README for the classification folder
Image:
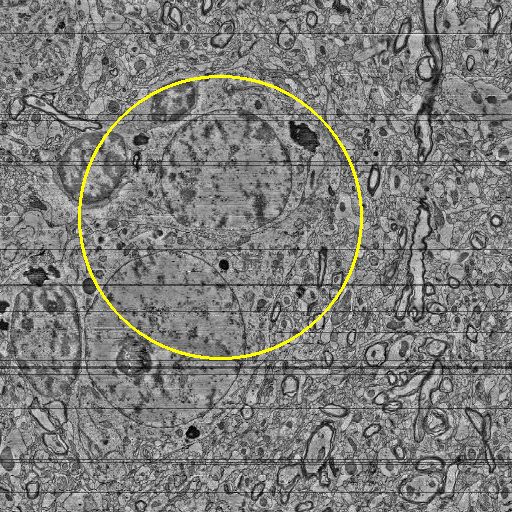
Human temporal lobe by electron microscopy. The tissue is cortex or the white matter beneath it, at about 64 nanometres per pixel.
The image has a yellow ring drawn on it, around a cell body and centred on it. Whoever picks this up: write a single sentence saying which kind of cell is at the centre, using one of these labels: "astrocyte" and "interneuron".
This cell body is that of an interneuron.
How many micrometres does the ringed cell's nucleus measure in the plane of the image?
In this plane the nucleus is about 9 micrometres across.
